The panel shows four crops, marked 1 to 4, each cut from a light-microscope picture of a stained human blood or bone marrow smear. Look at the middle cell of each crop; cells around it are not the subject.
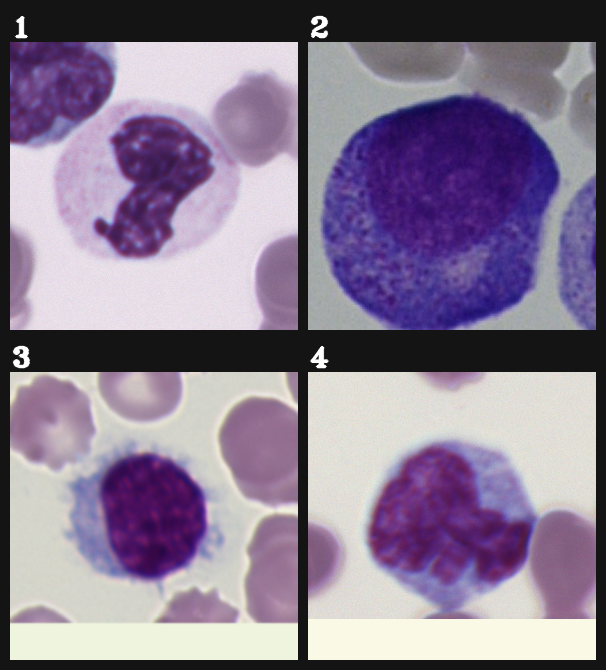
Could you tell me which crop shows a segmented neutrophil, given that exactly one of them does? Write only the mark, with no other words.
1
